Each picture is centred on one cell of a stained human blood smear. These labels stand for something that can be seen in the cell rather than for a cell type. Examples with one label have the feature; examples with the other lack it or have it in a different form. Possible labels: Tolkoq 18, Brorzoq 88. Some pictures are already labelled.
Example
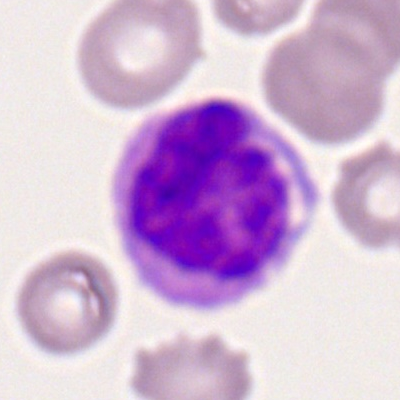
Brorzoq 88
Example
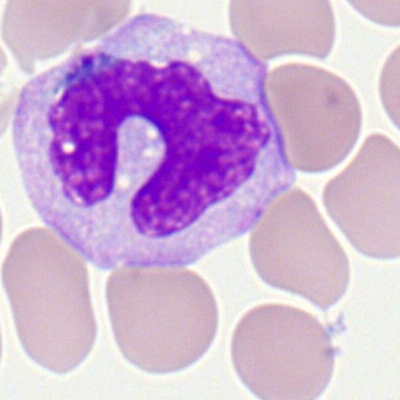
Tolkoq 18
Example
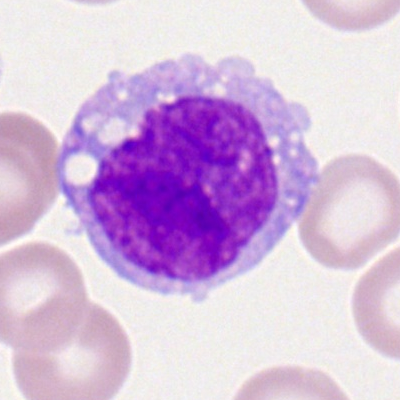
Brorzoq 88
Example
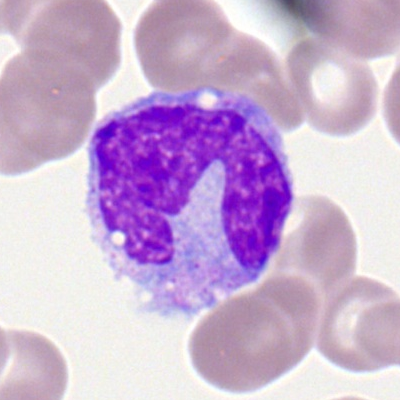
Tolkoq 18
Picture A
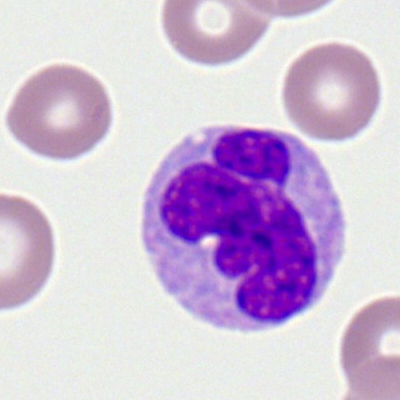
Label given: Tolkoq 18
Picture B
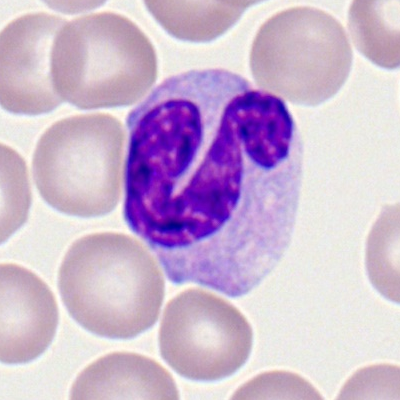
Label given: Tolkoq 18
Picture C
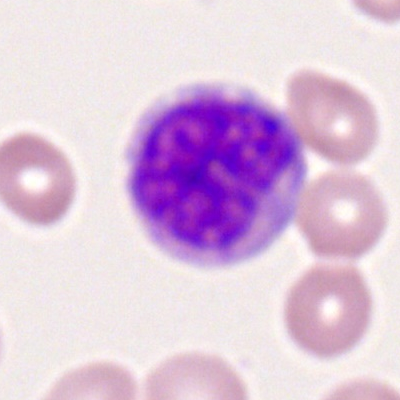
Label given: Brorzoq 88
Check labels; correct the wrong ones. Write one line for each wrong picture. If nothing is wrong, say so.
All labels are correct.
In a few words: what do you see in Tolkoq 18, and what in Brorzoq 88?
In Tolkoq 18: band-shaped nucleus. In Brorzoq 88: round or oval nucleus.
